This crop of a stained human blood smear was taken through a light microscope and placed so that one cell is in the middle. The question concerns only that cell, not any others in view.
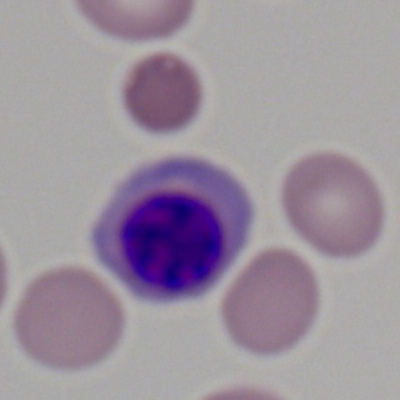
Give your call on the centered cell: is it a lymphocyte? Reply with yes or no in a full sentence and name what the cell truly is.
No, the cell of interest here is a normoblast and not a lymphocyte.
